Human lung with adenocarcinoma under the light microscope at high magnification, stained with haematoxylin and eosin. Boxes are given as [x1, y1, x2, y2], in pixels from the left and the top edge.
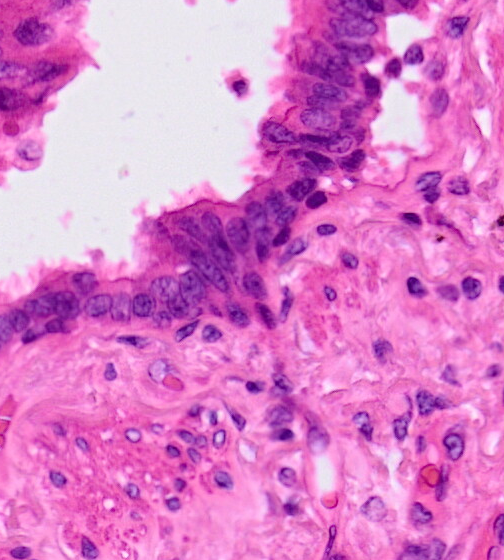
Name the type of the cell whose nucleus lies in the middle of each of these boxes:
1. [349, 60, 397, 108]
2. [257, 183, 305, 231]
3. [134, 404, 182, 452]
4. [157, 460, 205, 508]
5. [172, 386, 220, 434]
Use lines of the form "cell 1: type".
cell 1: ciliated epithelial cell
cell 2: ciliated epithelial cell
cell 3: smooth muscle cell or pericyte
cell 4: smooth muscle cell or pericyte
cell 5: smooth muscle cell or pericyte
